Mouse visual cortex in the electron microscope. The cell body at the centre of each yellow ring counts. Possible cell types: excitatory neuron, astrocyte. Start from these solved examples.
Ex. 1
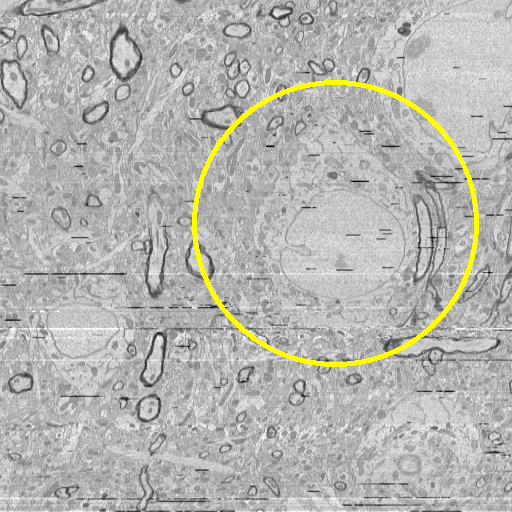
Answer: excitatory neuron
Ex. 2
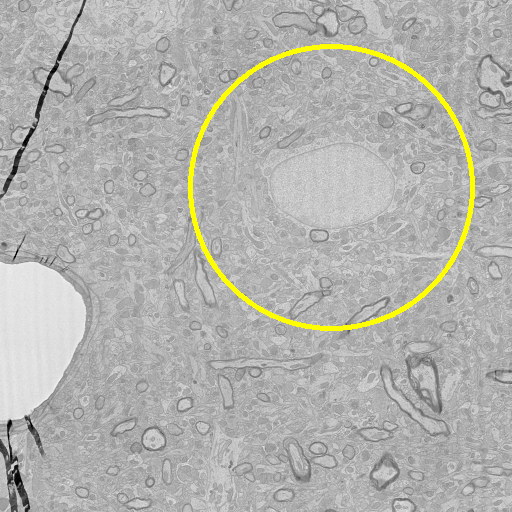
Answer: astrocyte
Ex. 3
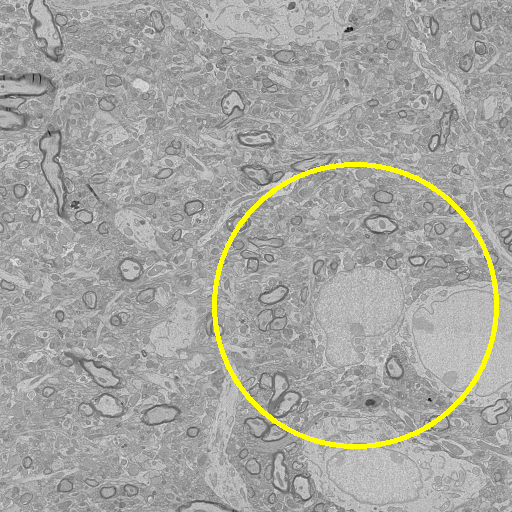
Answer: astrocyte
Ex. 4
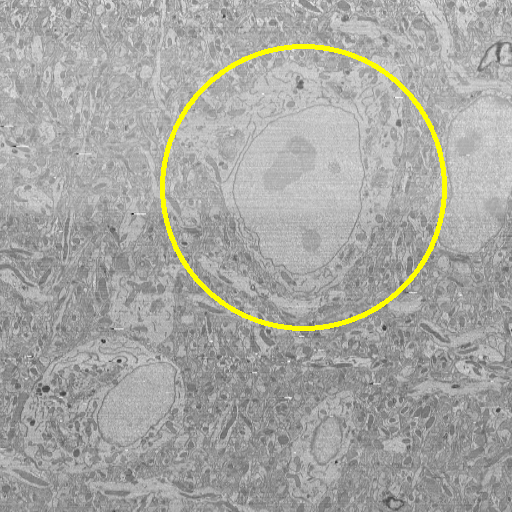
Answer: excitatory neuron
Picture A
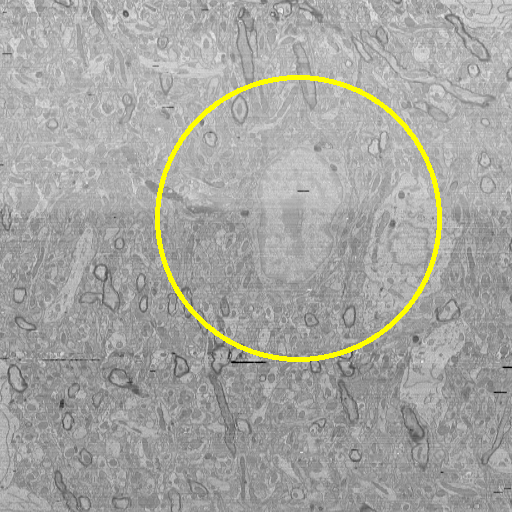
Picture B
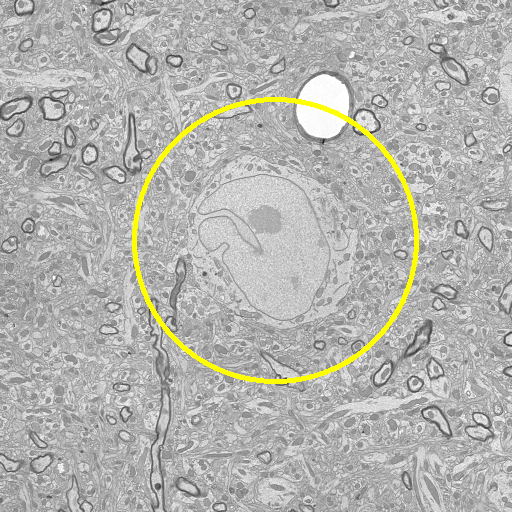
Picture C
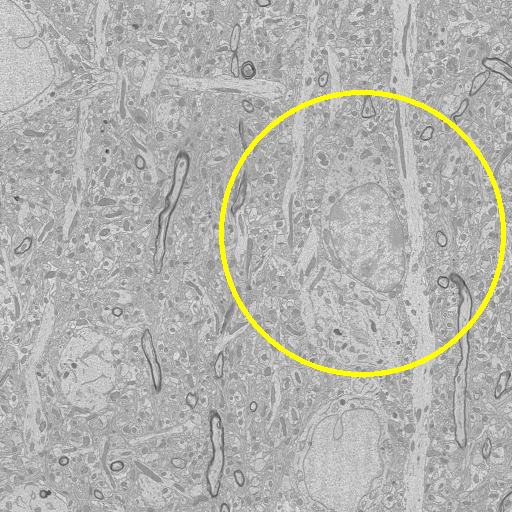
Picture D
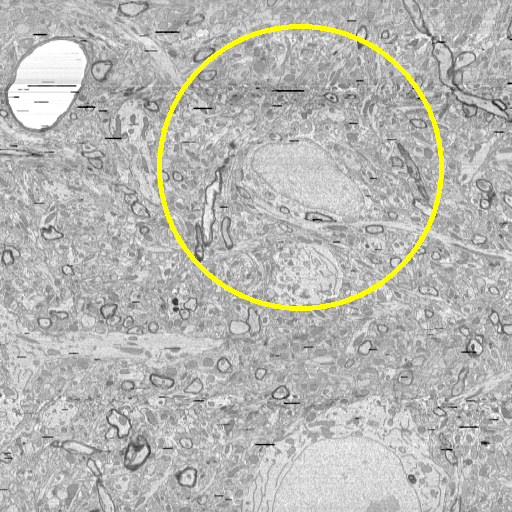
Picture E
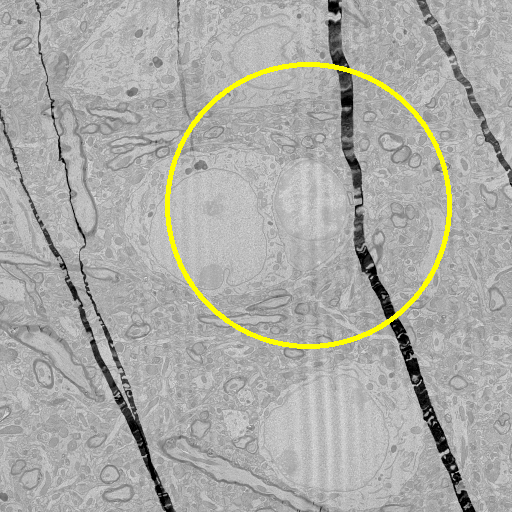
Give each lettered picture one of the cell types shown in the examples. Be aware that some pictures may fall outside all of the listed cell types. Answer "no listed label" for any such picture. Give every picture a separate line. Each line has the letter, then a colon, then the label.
A: no listed label
B: excitatory neuron
C: no listed label
D: astrocyte
E: no listed label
